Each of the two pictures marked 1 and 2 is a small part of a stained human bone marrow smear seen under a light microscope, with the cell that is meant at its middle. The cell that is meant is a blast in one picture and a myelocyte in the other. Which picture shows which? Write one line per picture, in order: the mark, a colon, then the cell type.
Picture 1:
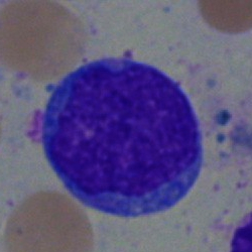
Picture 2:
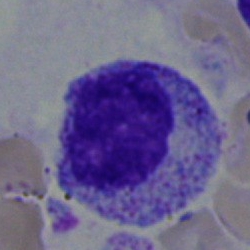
1: blast
2: myelocyte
